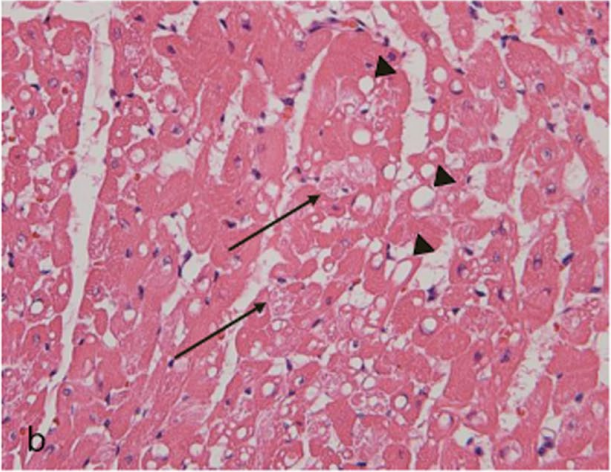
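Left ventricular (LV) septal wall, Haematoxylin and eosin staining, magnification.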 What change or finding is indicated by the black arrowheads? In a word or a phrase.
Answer: intracytoplasmic vacuolization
